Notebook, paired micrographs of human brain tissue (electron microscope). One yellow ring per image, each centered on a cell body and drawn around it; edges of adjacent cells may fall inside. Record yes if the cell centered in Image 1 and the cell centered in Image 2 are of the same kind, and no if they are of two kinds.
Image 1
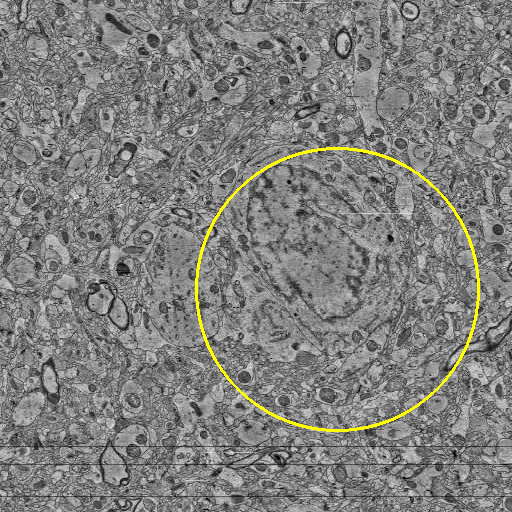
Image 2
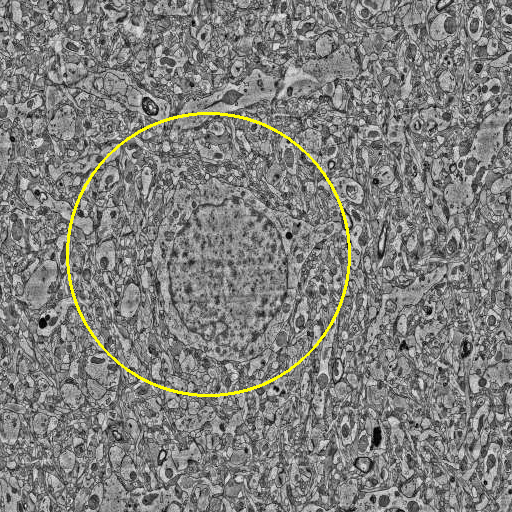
yes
